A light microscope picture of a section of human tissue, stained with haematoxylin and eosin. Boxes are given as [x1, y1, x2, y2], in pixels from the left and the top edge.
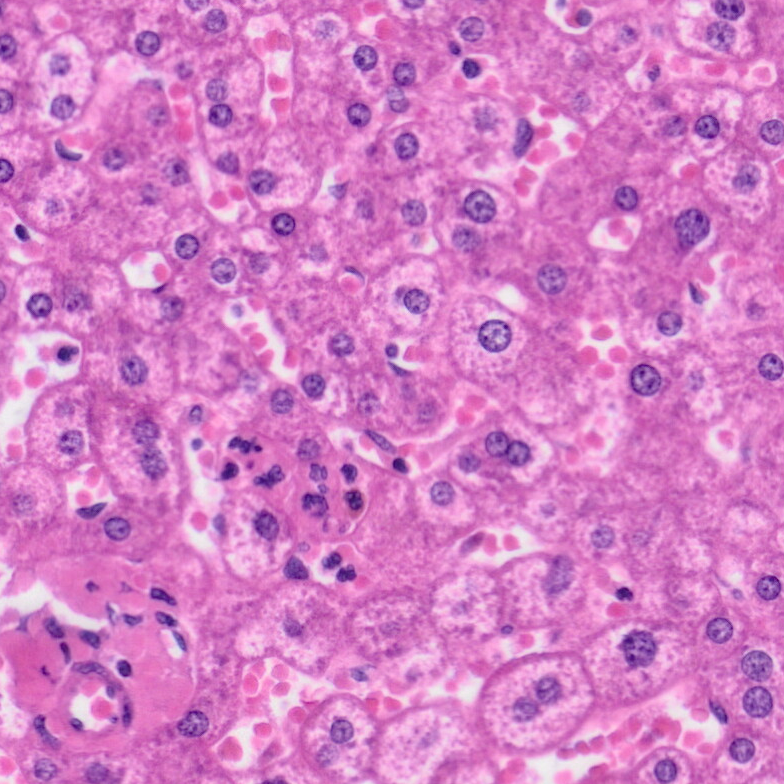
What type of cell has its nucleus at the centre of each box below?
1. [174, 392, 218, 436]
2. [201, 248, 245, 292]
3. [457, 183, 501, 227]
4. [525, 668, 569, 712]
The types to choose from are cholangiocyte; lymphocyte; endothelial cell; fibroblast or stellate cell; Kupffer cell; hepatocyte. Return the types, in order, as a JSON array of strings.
["Kupffer cell", "hepatocyte", "hepatocyte", "hepatocyte"]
